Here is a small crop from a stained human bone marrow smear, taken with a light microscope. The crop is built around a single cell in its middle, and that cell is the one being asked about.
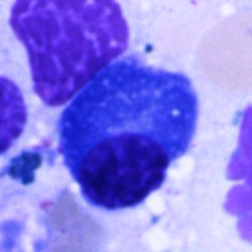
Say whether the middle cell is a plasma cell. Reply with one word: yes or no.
yes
